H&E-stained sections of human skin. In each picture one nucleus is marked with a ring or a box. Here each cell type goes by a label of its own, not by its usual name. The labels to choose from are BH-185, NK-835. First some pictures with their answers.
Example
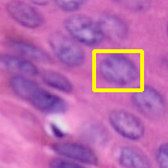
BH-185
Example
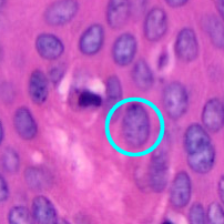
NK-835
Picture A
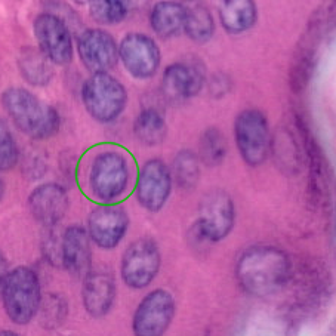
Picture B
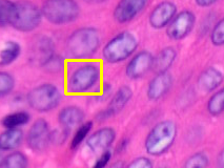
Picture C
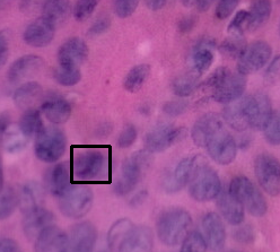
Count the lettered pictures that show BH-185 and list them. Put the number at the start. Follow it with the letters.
Count: 2 (A, B)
